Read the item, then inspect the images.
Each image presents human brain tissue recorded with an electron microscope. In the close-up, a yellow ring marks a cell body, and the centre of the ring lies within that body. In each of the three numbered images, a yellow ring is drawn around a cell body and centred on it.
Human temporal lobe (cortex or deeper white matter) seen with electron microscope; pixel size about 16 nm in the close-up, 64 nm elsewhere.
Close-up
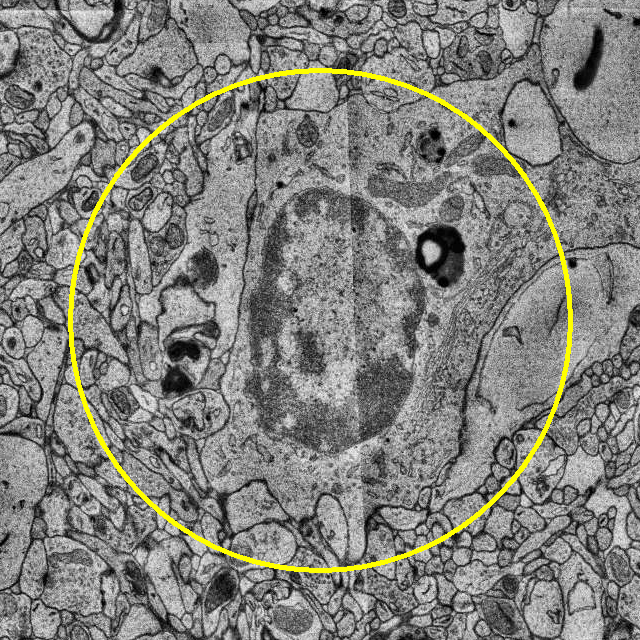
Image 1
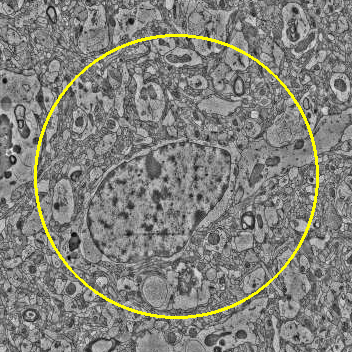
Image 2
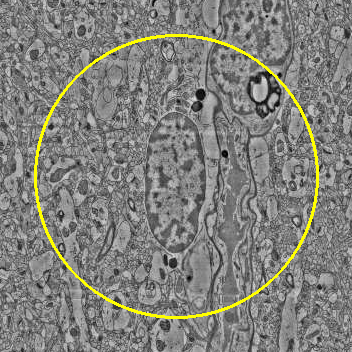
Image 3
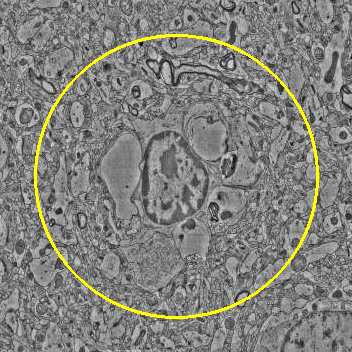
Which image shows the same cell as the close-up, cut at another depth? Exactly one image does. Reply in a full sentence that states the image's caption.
The ring in Image 3 surrounds the cell that the close-up shows.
